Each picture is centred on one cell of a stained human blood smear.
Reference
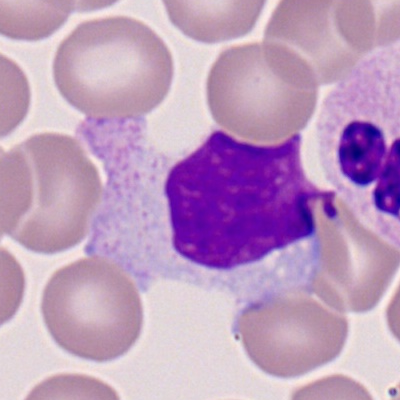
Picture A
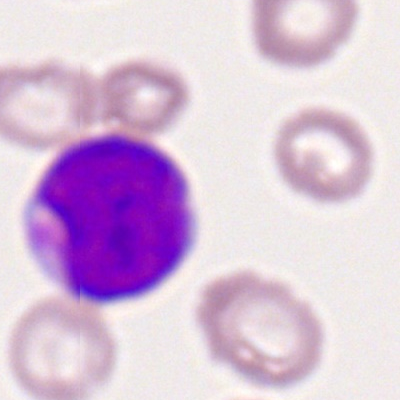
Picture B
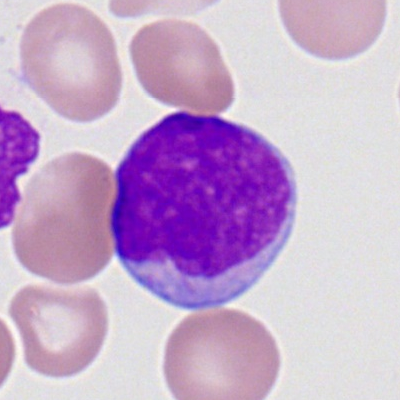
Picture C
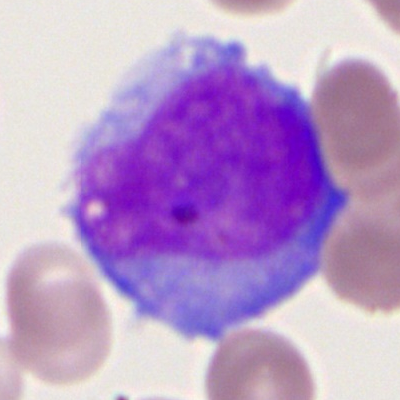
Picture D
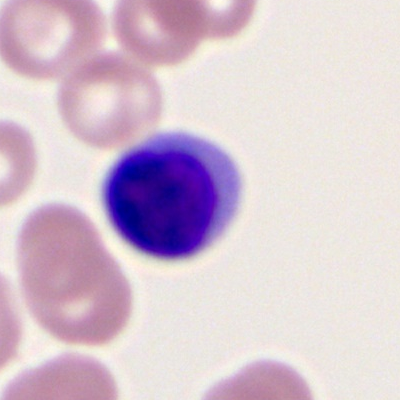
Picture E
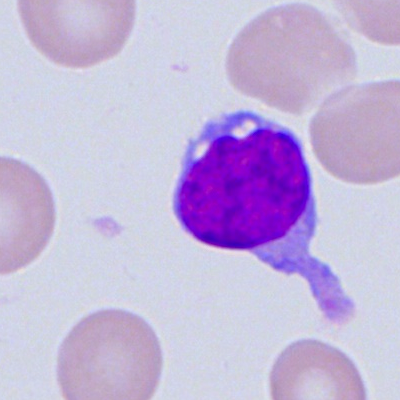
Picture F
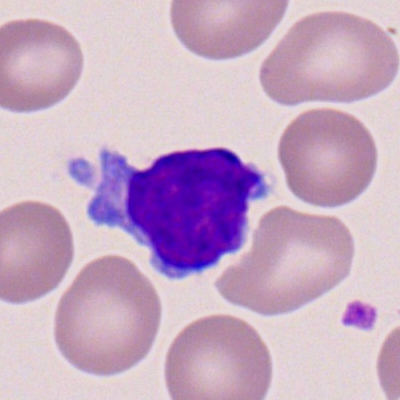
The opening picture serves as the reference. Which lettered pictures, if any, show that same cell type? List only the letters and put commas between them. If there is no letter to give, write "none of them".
D, E, F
